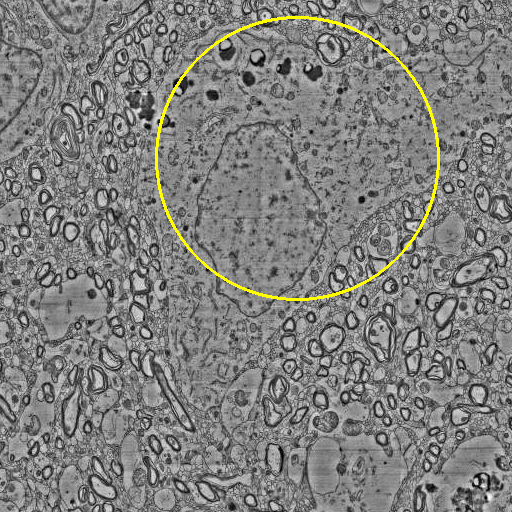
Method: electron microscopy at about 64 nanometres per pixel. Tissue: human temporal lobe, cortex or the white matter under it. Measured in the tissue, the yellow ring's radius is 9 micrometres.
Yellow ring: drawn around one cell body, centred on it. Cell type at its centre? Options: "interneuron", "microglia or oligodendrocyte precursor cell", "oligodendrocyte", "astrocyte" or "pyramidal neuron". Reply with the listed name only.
pyramidal neuron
